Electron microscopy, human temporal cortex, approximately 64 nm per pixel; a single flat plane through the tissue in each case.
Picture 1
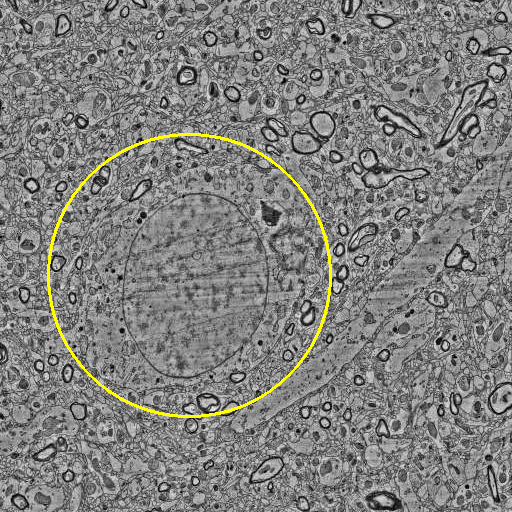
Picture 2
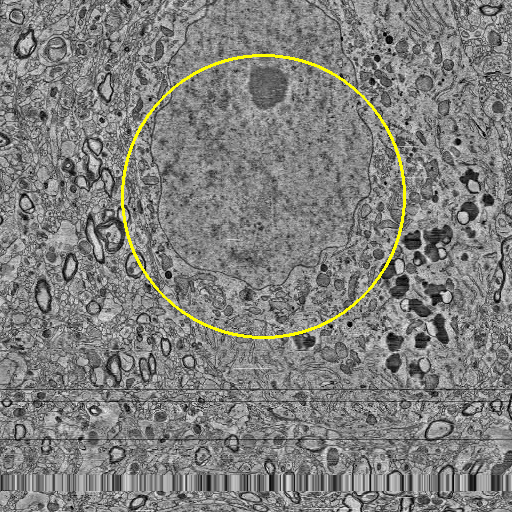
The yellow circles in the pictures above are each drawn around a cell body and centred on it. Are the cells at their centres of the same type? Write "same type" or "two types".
same type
